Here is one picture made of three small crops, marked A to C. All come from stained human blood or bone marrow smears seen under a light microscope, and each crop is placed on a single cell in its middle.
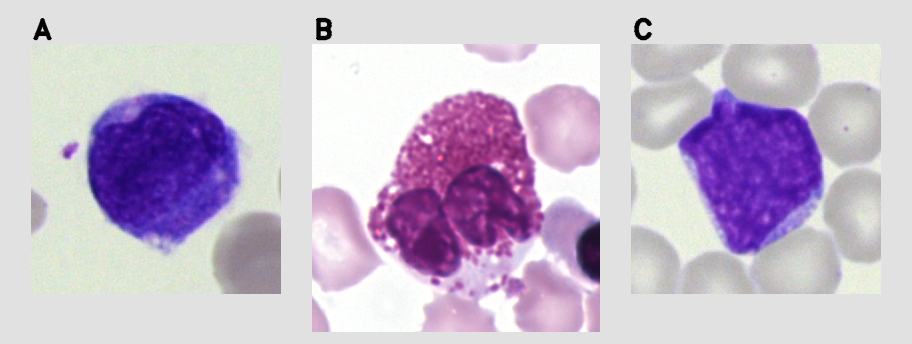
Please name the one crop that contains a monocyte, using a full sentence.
The cell at the center of crop A is the one that is a monocyte.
